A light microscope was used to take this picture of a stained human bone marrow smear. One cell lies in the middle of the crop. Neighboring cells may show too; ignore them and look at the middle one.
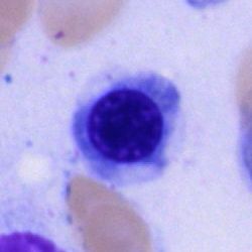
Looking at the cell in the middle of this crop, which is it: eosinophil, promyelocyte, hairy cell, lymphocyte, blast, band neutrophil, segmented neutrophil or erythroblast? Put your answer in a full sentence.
The cell around which this crop is centred is an erythroblast.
